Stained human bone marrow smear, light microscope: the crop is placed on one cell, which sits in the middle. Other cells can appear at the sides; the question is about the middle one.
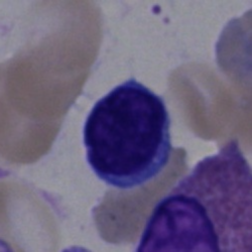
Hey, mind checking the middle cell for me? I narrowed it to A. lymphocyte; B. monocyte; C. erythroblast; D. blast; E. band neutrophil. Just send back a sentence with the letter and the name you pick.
The central cell of the crop is a lymphocyte, which makes A the correct option.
